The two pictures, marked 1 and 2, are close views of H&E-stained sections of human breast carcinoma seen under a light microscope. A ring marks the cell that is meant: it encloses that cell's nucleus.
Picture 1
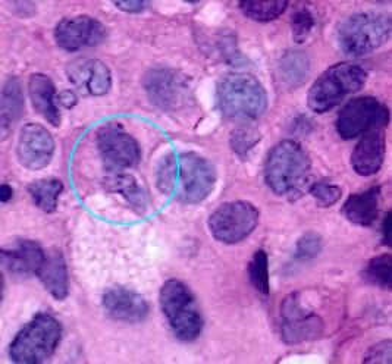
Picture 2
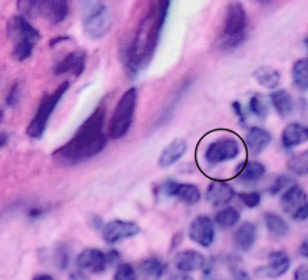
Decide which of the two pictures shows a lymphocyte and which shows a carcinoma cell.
1: carcinoma cell
2: lymphocyte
